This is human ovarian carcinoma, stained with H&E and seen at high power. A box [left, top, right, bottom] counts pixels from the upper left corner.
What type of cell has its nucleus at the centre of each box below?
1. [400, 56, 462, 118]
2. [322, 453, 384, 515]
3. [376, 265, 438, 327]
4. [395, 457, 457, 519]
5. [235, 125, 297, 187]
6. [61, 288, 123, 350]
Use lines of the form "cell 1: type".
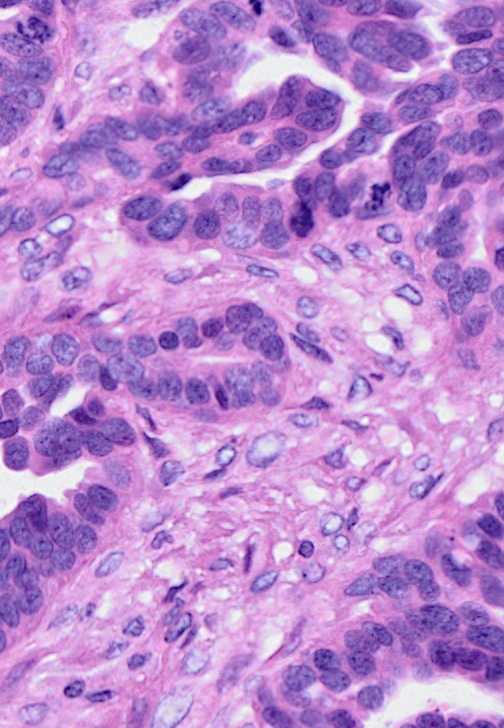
cell 1: carcinoma cell
cell 2: fibroblast
cell 3: fibroblast
cell 4: fibroblast
cell 5: carcinoma cell
cell 6: fibroblast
